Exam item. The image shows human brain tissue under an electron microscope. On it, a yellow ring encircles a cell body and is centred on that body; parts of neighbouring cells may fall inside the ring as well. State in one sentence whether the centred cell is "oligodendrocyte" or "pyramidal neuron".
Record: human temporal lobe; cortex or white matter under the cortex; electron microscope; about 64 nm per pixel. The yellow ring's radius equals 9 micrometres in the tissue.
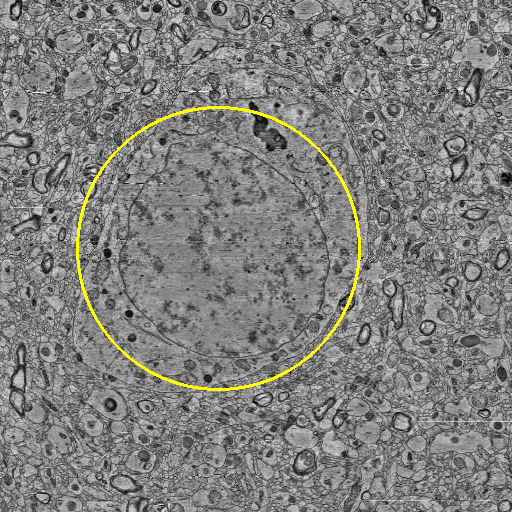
The cell body centred in the ring is a pyramidal neuron.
